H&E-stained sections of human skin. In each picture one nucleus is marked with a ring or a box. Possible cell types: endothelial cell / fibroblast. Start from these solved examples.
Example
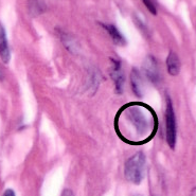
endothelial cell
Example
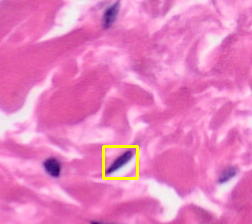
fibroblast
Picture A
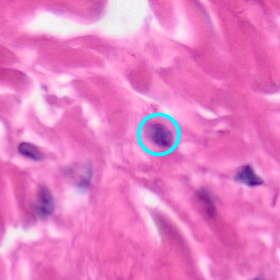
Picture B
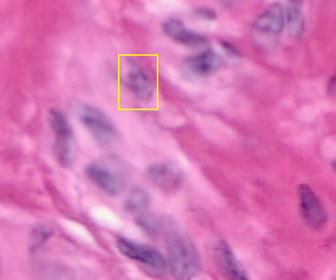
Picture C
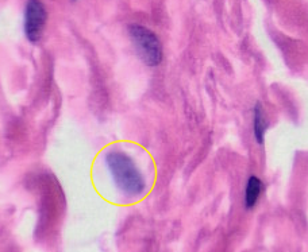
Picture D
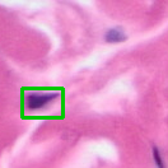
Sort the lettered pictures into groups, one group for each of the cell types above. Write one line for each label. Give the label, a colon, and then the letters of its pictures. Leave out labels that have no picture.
endothelial cell: B
fibroblast: A, C, D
